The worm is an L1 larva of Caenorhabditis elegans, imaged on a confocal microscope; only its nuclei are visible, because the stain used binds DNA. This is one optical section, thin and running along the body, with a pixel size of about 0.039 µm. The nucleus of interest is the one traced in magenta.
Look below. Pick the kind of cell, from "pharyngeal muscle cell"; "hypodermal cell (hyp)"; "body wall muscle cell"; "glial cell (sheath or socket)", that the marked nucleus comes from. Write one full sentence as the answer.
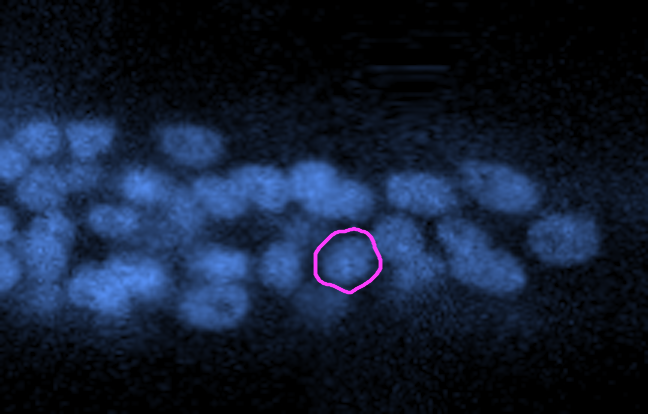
What is marked is the nucleus of a glial cell (sheath or socket).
